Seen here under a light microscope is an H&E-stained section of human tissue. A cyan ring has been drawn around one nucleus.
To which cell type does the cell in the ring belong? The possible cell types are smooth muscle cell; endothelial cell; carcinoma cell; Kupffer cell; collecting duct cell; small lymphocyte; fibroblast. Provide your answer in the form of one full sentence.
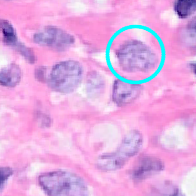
Typologically, the cell in the ring is a carcinoma cell in this section.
